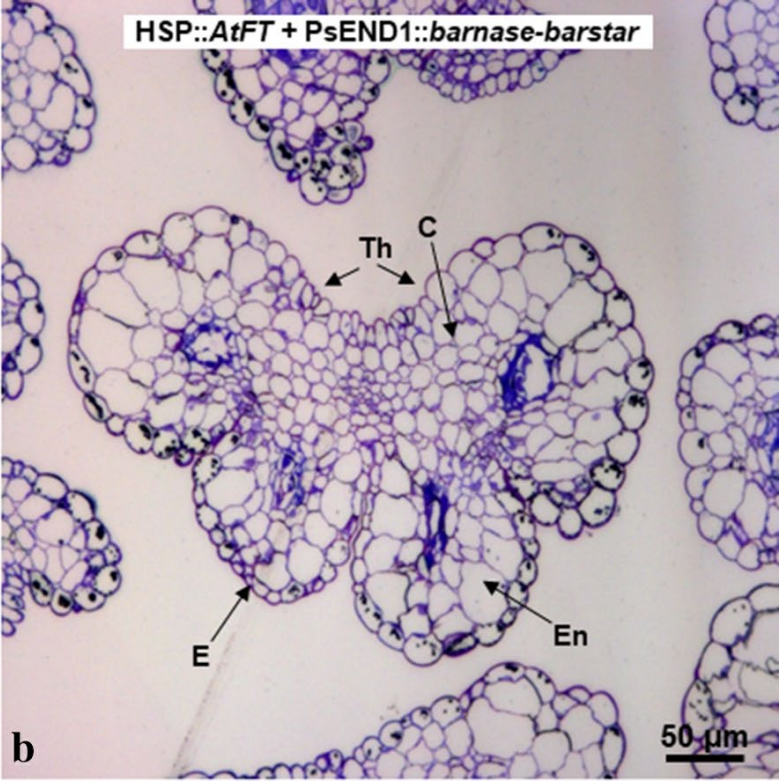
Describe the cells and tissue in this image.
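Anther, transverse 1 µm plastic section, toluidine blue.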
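The central connective is made of small, tightly packed polygonal cells, and the lobes are filled with large, pale, thin-walled vacuolate cells in place of open locules with pollen. An outer epidermis of small rounded cells covers the lobes, many of its cells holding dark granules, and a layer of larger endothecial cells lies beneath it. A few darker, elongated strands of cells run within the lobes.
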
